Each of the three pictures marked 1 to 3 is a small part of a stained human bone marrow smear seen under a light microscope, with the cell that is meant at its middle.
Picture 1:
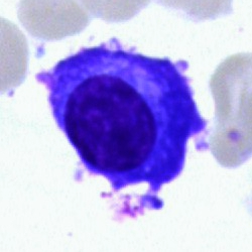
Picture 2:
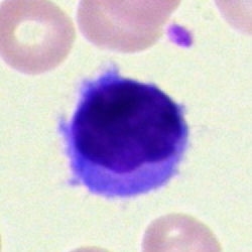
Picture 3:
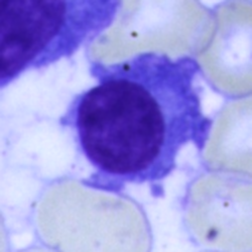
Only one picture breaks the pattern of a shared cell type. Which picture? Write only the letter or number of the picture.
2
